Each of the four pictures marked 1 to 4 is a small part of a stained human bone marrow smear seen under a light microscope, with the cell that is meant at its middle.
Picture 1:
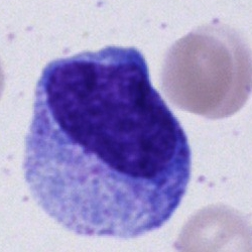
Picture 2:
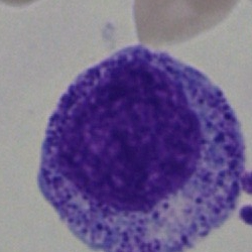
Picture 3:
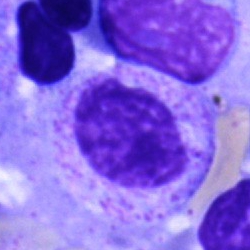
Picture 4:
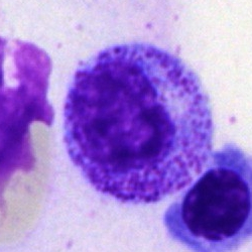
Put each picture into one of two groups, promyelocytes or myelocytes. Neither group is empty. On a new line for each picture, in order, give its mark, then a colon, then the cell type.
1: promyelocyte
2: myelocyte
3: myelocyte
4: promyelocyte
